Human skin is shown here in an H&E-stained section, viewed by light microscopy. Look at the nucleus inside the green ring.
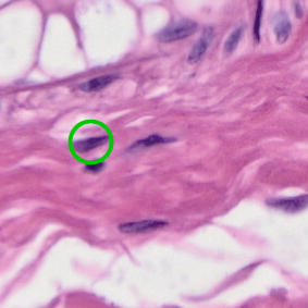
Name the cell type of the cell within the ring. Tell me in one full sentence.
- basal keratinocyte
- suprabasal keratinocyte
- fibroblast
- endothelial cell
As to its cell type, the cell within the ring is a fibroblast.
